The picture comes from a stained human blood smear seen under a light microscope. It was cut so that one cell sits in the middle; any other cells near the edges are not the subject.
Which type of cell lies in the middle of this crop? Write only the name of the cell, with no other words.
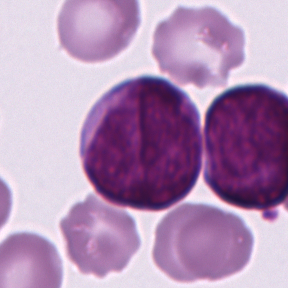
myeloblast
